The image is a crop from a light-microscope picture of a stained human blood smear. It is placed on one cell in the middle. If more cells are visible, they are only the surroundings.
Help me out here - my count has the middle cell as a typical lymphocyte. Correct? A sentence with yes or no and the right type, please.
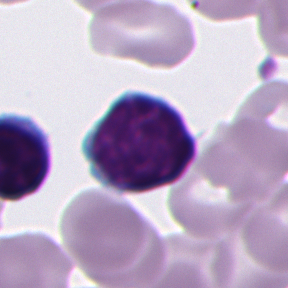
Yes, the cell that occupies the centre is a typical lymphocyte.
